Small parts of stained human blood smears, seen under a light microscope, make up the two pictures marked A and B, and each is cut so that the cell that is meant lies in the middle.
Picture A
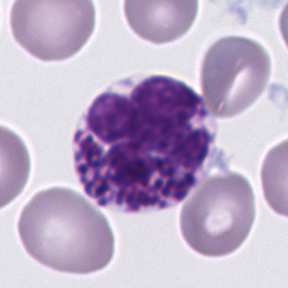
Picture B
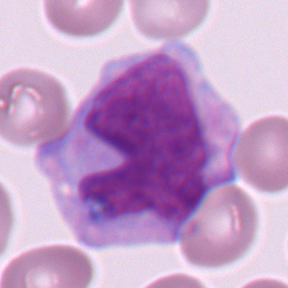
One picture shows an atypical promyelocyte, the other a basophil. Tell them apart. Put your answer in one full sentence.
The cell in picture A is a basophil, and the one in picture B is an atypical promyelocyte.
